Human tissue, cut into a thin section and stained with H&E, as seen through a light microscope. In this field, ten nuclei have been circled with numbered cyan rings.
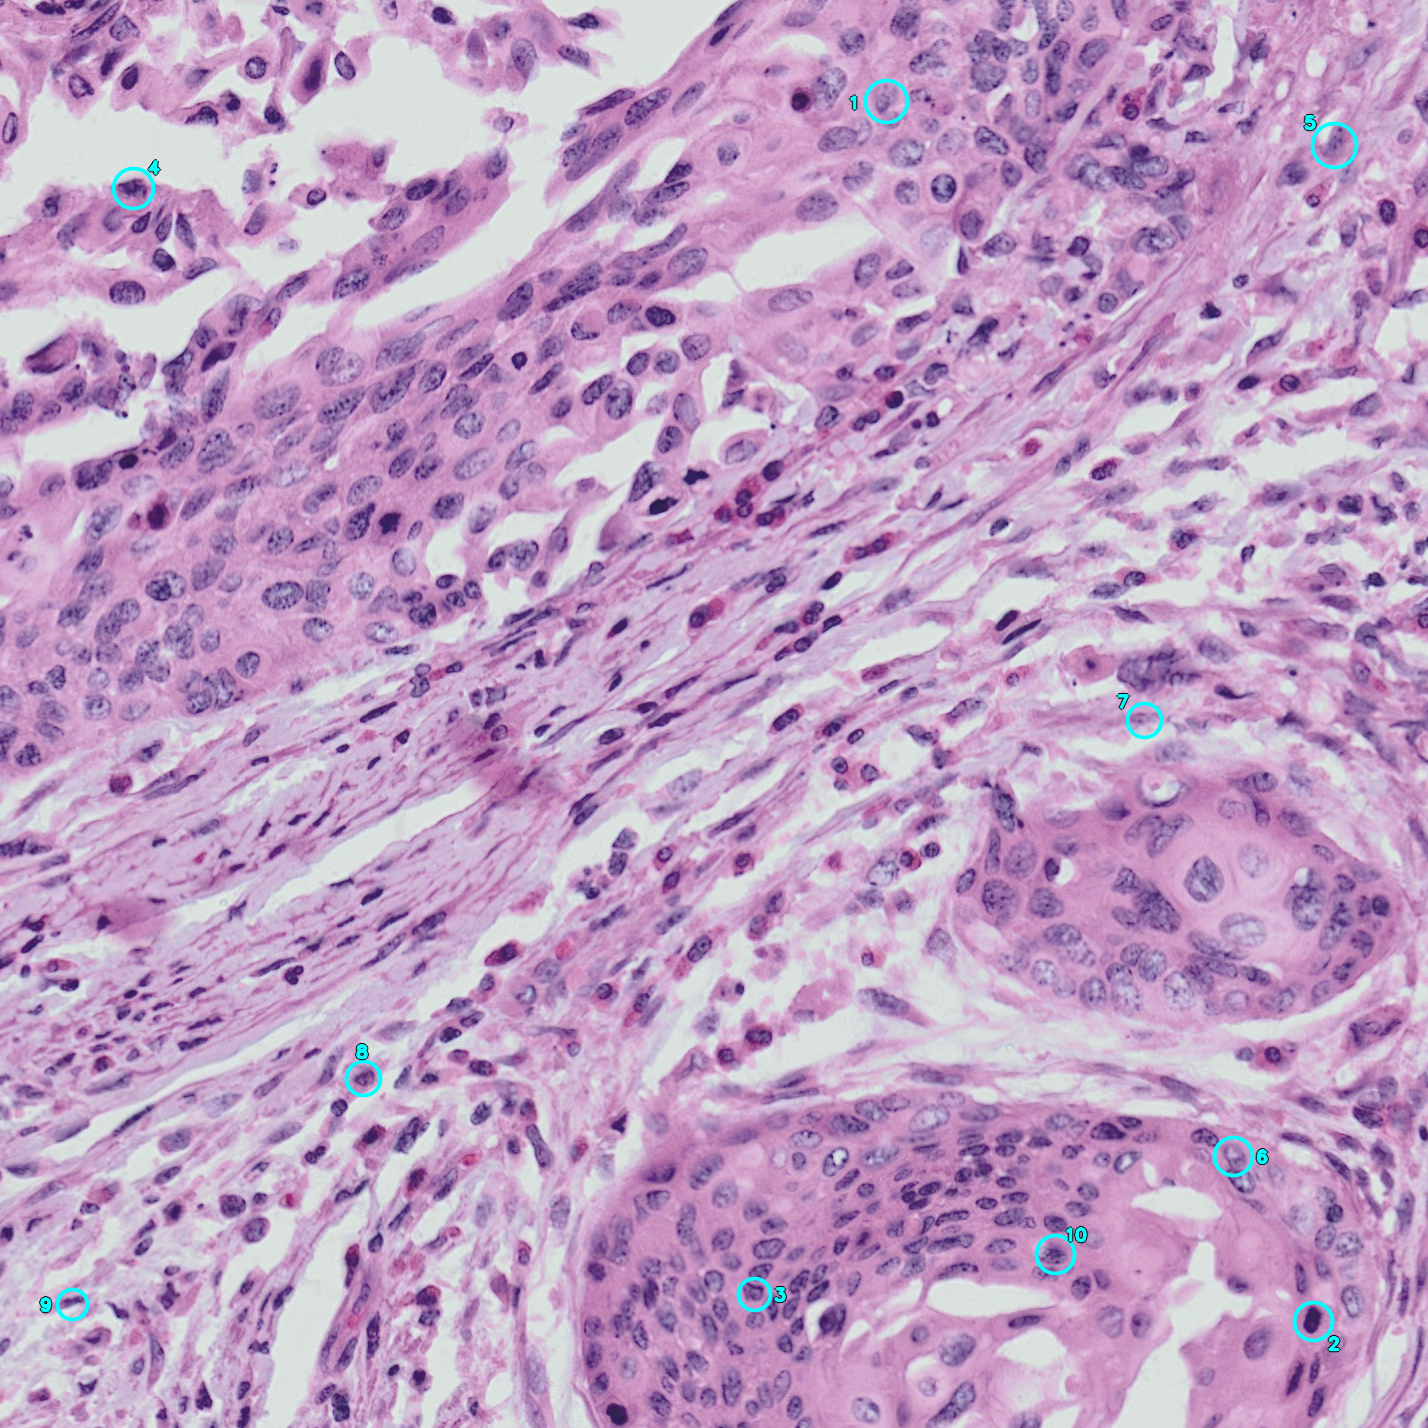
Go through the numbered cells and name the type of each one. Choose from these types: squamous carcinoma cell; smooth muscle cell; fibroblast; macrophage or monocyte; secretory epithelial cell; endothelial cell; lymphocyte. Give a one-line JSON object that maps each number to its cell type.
{"1": "squamous carcinoma cell", "2": "squamous carcinoma cell", "3": "squamous carcinoma cell", "4": "squamous carcinoma cell", "5": "endothelial cell", "6": "squamous carcinoma cell", "7": "fibroblast", "8": "macrophage or monocyte", "9": "fibroblast", "10": "squamous carcinoma cell"}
